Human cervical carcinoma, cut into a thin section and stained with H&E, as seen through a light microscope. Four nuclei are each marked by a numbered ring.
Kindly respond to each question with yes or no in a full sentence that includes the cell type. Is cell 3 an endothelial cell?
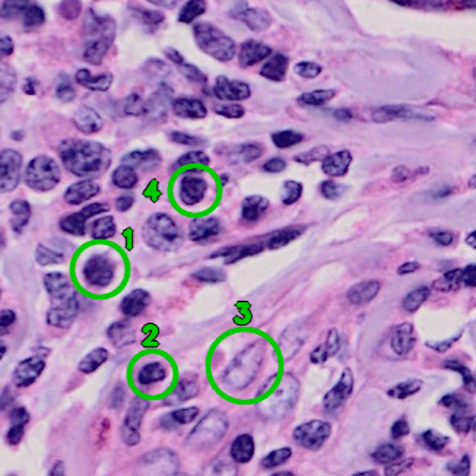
Yes, the cell that goes by number 3 is an endothelial cell.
